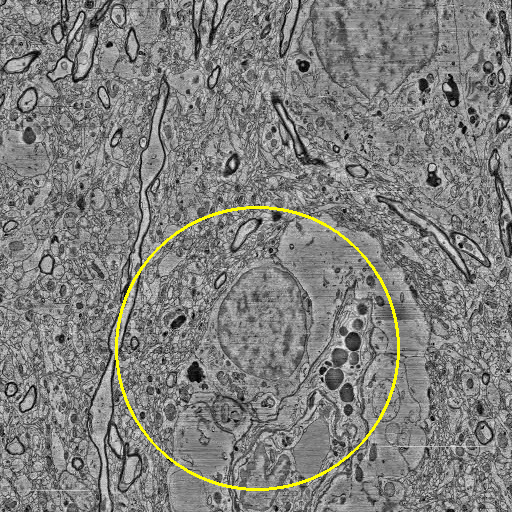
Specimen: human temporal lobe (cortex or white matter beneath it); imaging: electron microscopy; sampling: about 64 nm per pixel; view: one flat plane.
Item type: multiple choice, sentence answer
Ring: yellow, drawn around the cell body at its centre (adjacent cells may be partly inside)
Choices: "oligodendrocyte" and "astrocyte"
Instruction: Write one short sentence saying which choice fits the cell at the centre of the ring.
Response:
This ring is drawn around an oligodendrocyte.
